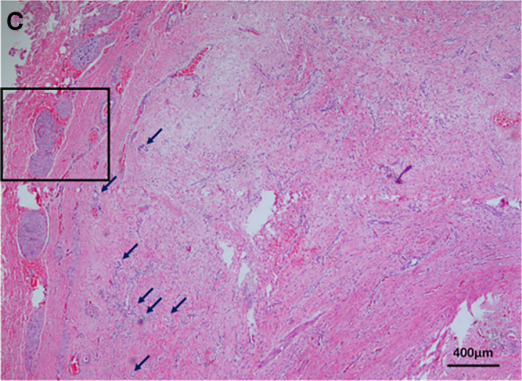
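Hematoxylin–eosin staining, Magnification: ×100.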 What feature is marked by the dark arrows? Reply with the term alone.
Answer: Ductules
